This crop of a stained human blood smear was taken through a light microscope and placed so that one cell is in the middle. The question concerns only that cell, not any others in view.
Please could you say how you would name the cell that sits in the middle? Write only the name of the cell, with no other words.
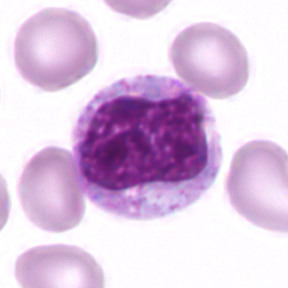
metamyelocyte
